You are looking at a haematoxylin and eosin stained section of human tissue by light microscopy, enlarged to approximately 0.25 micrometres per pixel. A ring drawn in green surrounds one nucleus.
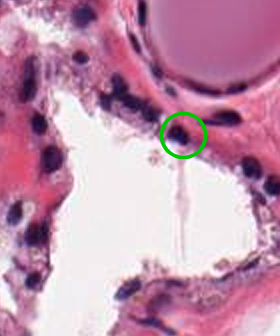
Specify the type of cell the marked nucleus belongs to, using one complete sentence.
The marked nucleus belongs, in this picture, to a thyroid follicular cell.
